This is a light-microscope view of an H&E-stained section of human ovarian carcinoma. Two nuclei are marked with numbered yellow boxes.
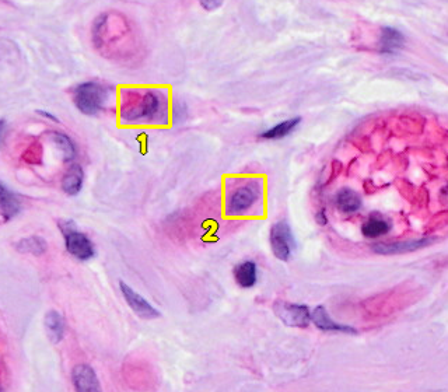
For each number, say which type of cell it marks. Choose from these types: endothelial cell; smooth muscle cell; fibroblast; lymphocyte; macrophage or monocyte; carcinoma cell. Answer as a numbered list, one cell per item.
1. endothelial cell
2. smooth muscle cell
